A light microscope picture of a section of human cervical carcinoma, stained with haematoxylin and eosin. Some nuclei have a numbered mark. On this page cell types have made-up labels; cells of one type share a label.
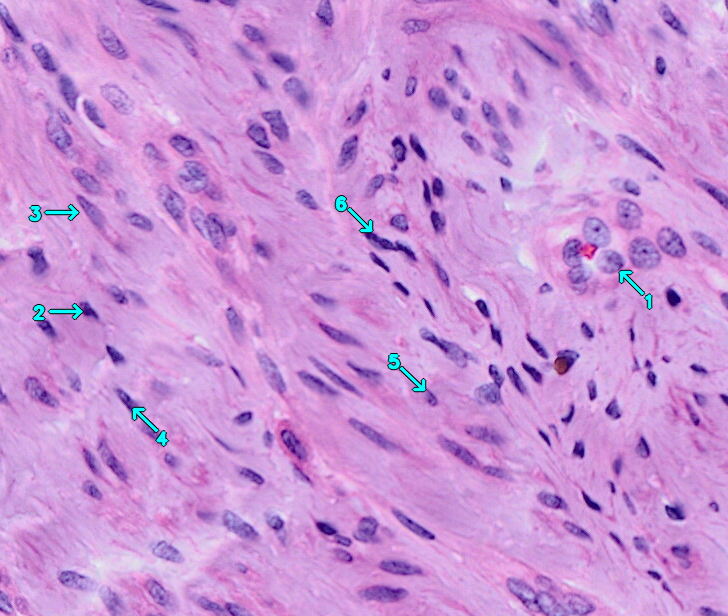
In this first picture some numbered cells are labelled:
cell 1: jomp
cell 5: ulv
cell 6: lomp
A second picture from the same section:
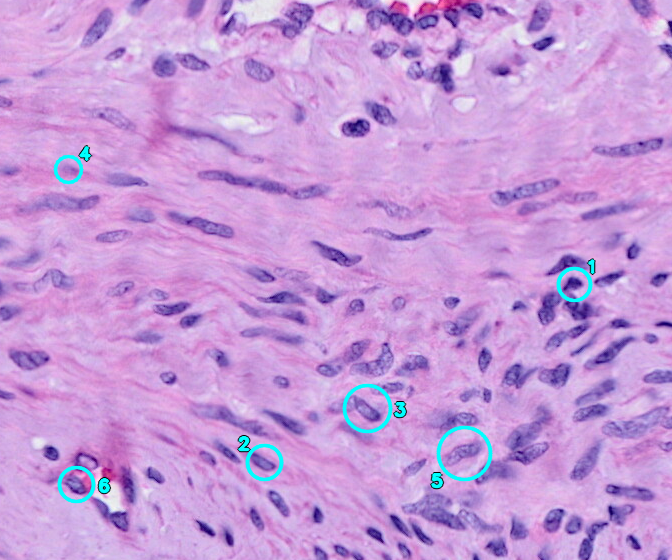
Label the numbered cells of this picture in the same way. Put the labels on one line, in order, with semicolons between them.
lomp; ulv; ulv; ulv; ulv; jomp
